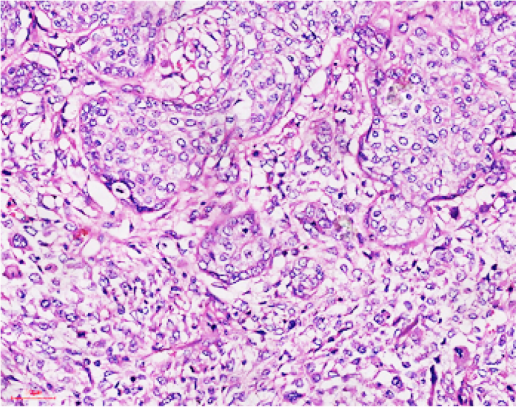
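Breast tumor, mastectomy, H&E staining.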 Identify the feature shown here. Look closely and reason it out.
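Groups of closely packed round tumor cells form rounded nests. Nests are separated by thin pink fibrous septa. That points to this answer: locally nested.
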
